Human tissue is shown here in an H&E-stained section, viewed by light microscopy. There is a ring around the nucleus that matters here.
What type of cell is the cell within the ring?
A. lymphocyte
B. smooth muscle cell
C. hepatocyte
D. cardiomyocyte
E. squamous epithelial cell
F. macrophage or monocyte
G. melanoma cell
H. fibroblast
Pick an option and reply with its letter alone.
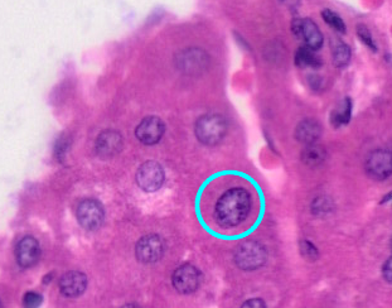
C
